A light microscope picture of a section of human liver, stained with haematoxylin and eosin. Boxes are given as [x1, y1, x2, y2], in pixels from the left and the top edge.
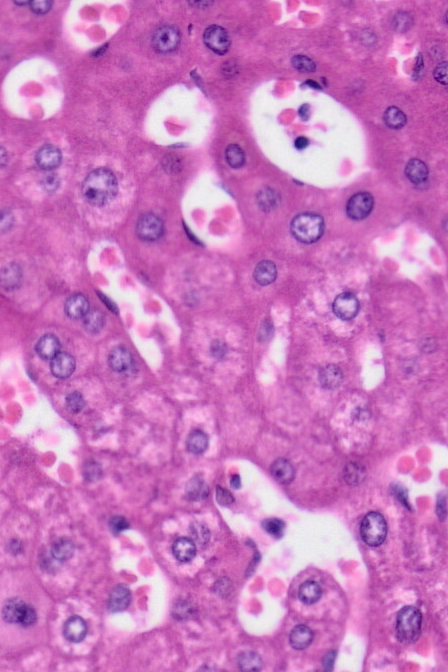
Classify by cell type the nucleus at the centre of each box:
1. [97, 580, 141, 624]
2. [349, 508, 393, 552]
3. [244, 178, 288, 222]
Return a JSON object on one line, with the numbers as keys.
{"1": "Kupffer cell", "2": "hepatocyte", "3": "hepatocyte"}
